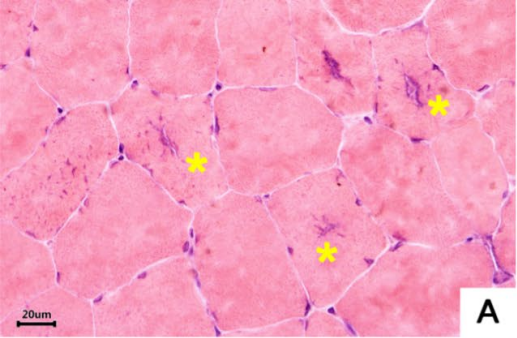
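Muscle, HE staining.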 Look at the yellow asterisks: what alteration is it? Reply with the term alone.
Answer: basophilic aggregates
